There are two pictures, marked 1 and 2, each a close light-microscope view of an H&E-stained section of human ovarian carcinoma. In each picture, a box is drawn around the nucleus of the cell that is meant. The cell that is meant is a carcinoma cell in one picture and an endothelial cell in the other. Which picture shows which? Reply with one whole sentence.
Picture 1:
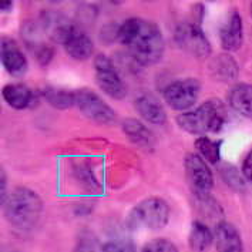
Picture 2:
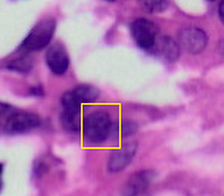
In picture 1 the cell is an endothelial cell; in picture 2, a carcinoma cell.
